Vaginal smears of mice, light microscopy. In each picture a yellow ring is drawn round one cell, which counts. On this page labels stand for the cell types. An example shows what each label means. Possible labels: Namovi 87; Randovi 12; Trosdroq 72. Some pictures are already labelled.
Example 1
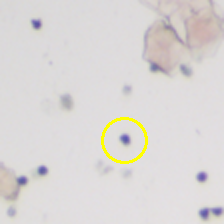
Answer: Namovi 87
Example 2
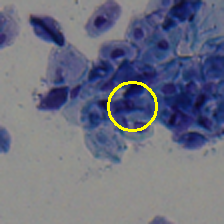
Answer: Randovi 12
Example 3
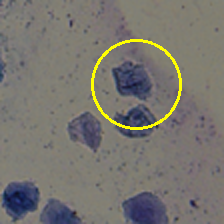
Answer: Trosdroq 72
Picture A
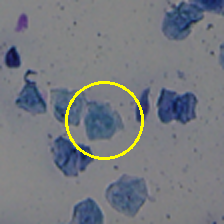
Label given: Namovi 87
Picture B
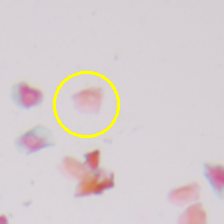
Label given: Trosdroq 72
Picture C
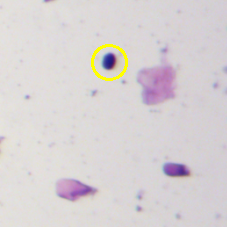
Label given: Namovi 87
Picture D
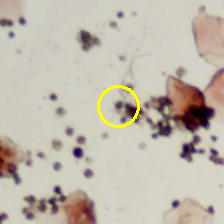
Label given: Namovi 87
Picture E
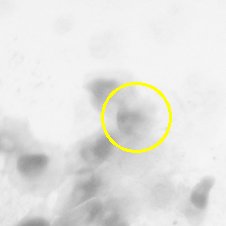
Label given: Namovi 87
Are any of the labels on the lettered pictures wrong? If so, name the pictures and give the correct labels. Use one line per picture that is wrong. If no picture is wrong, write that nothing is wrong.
A: Trosdroq 72, not Namovi 87
E: Randovi 12, not Namovi 87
